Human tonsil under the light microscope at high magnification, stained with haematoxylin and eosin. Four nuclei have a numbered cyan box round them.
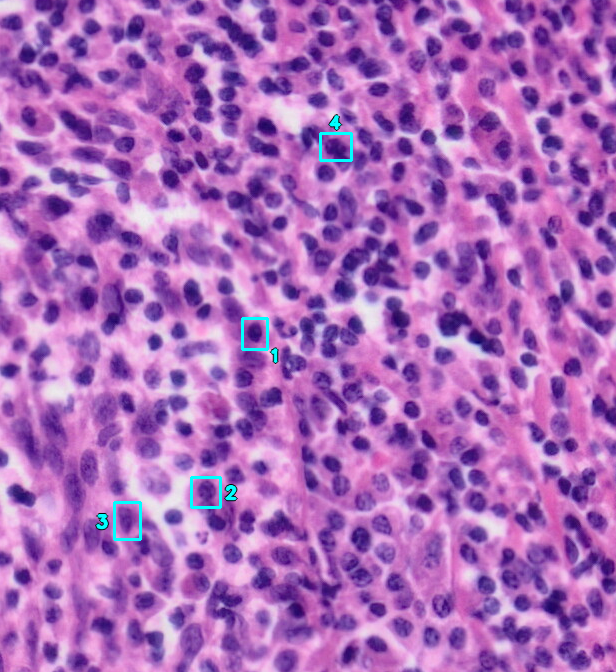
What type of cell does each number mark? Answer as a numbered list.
1. plasma cell
2. plasma cell
3. squamous epithelial cell
4. plasma cell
